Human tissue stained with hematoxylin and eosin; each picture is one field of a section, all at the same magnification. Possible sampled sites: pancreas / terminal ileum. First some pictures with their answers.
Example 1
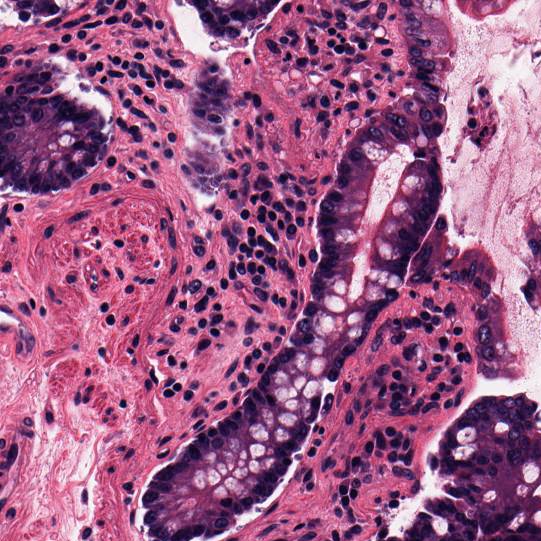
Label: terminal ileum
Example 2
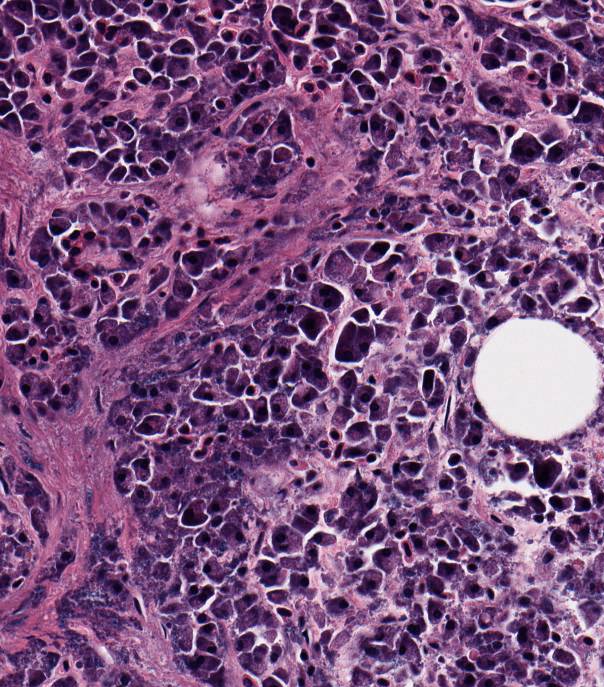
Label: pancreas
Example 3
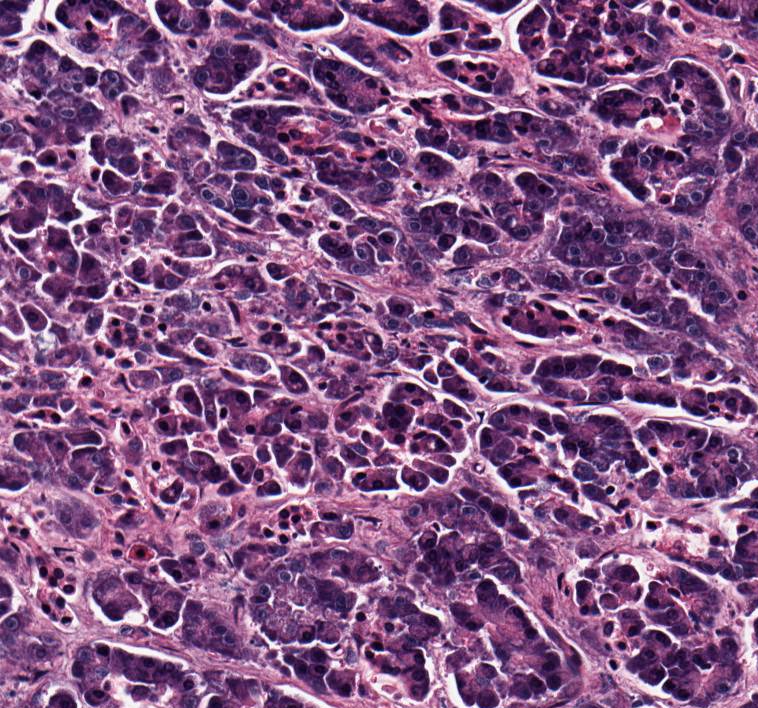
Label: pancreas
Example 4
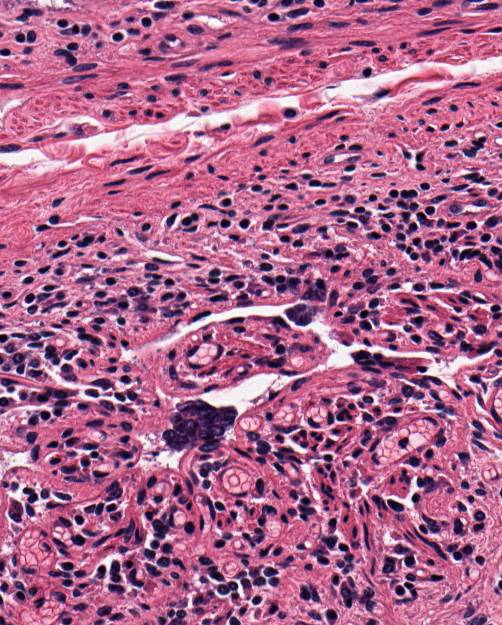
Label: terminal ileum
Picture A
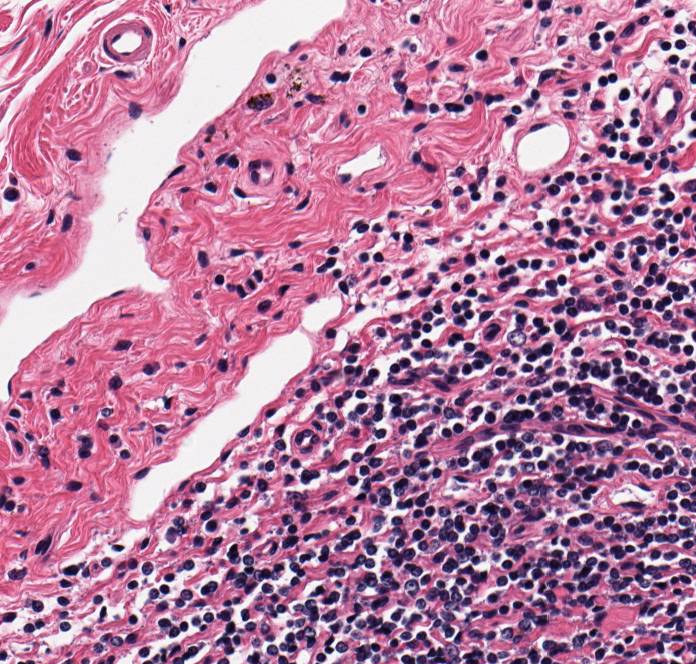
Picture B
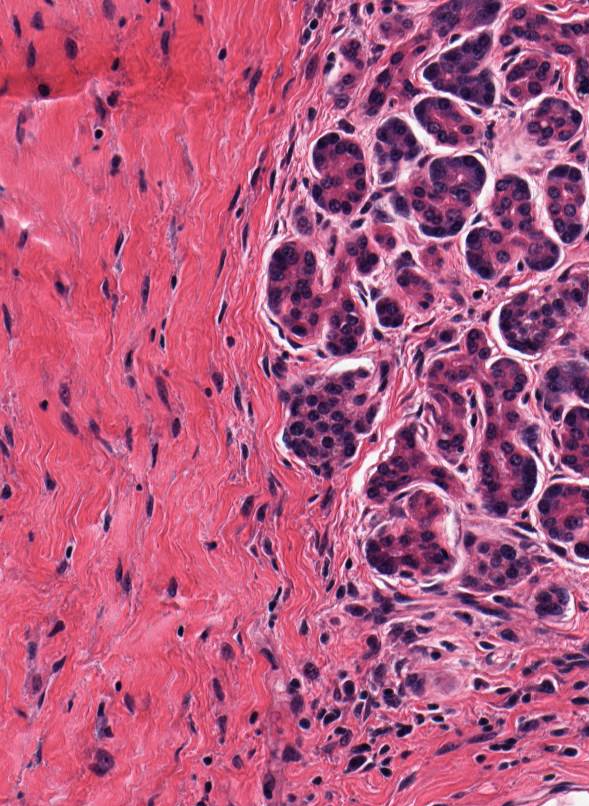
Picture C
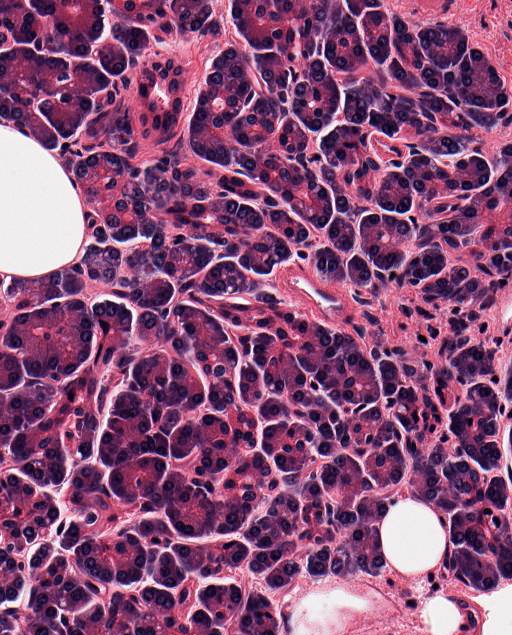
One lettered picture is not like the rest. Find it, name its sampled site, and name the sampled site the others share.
Picture A: terminal ileum. All others: pancreas.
